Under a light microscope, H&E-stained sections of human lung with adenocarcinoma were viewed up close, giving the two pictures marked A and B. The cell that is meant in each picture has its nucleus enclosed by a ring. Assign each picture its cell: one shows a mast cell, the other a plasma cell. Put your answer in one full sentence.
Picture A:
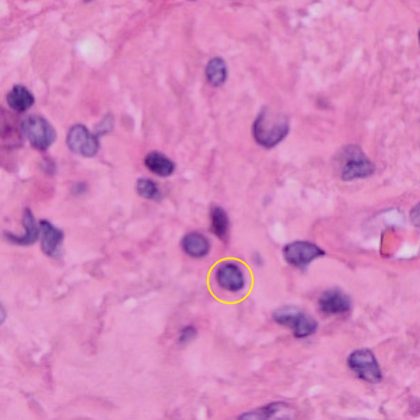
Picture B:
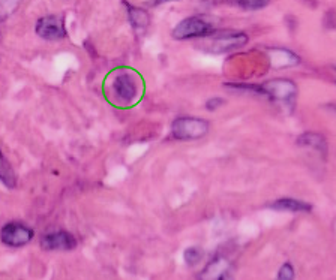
In picture A the cell is a mast cell; in picture B, a plasma cell.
